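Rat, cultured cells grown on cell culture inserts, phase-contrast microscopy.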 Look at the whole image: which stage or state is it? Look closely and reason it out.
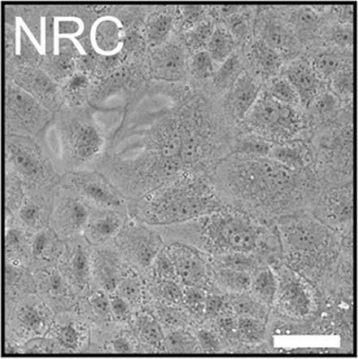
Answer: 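Epithelial morphology. Polygonal cells lie tightly packed side by side in a continuous sheet. No gaps are visible between neighbouring cells.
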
